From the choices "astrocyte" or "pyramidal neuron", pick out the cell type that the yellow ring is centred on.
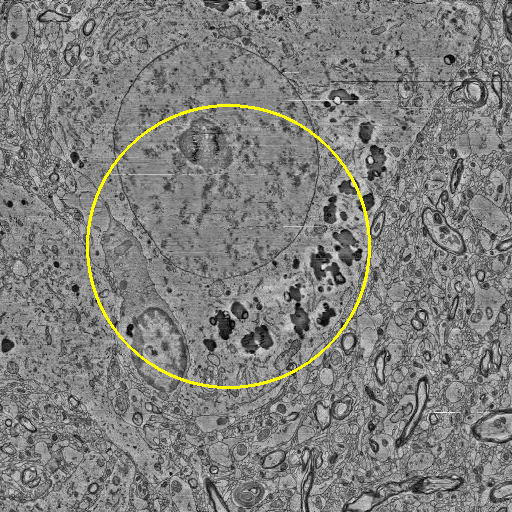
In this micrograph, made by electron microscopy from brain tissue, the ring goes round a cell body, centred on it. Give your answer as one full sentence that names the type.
The yellow ring is centred on a pyramidal neuron, whose cell body it encircles in the picture.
